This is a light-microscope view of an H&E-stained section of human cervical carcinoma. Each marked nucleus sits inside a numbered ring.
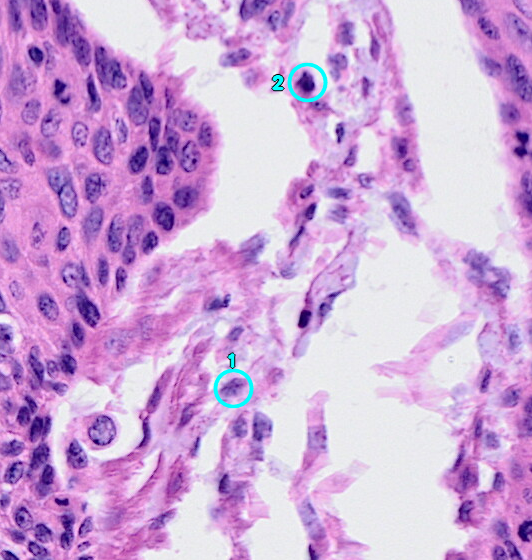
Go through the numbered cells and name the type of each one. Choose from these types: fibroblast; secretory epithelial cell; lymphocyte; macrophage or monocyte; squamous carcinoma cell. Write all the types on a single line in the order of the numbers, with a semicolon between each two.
fibroblast; lymphocyte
